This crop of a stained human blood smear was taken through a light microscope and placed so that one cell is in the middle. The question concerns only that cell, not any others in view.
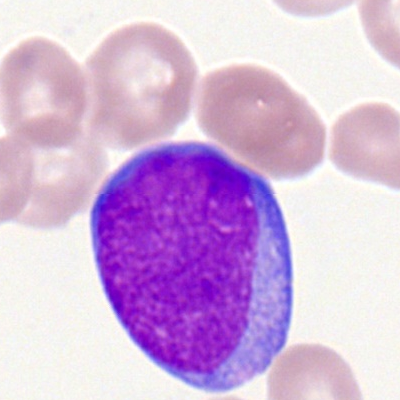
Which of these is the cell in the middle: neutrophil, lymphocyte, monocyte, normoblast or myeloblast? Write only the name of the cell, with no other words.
myeloblast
